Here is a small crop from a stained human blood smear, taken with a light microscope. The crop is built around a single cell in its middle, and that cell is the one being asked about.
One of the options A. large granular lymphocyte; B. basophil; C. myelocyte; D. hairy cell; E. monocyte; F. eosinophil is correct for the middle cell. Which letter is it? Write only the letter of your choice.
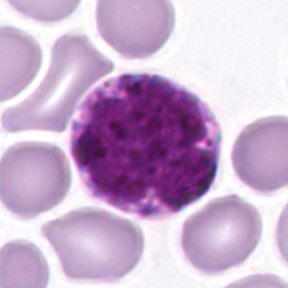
B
